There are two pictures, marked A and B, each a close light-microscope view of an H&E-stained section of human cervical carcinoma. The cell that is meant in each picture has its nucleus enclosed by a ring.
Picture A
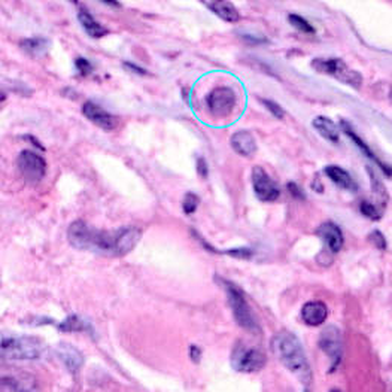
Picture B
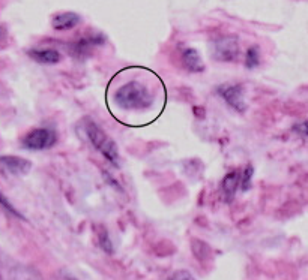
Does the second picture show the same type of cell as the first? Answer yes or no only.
yes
